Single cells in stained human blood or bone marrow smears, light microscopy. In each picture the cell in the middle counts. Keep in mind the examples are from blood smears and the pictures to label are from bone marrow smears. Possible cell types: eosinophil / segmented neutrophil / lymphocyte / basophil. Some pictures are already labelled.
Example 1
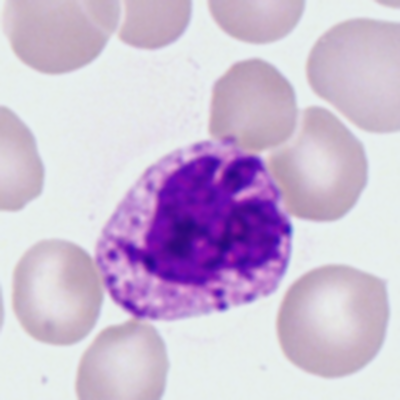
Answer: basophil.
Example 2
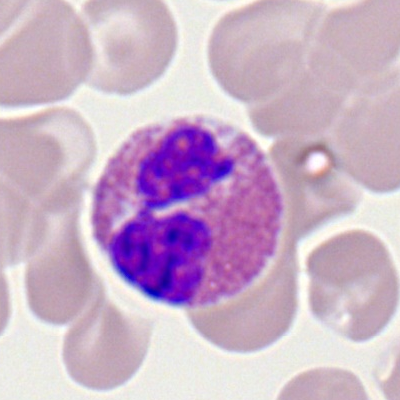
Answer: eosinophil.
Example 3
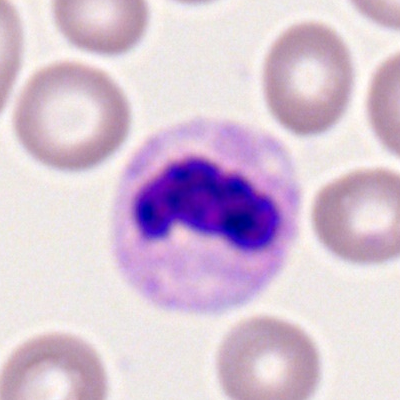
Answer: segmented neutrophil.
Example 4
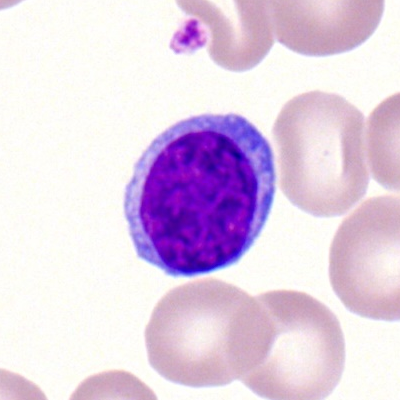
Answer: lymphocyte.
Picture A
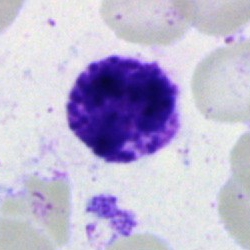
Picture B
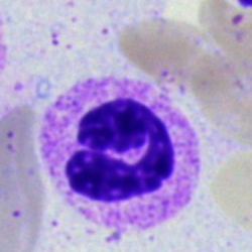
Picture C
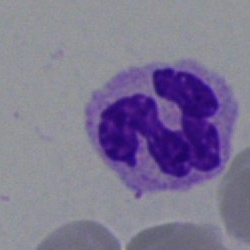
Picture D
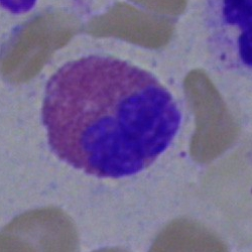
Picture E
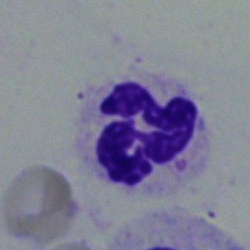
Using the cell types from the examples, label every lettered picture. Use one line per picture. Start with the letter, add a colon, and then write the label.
A: basophil.
B: segmented neutrophil.
C: segmented neutrophil.
D: eosinophil.
E: segmented neutrophil.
